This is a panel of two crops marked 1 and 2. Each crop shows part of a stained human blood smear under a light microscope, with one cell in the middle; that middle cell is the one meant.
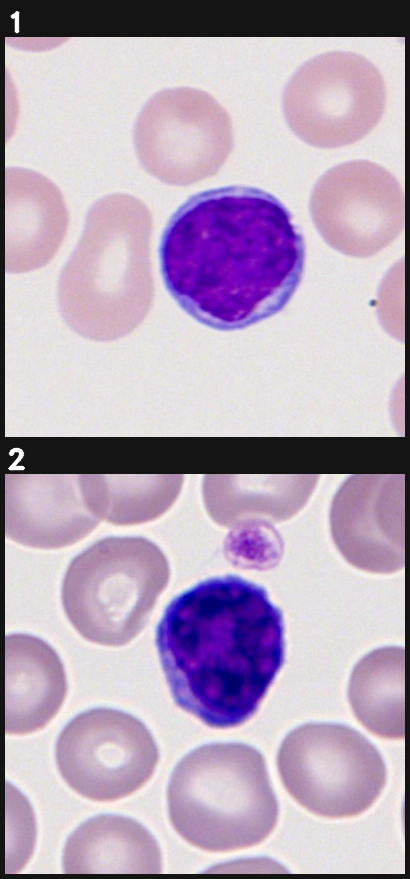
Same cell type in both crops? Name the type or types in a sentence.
Yes, the first and the second crop both show lymphocytes.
